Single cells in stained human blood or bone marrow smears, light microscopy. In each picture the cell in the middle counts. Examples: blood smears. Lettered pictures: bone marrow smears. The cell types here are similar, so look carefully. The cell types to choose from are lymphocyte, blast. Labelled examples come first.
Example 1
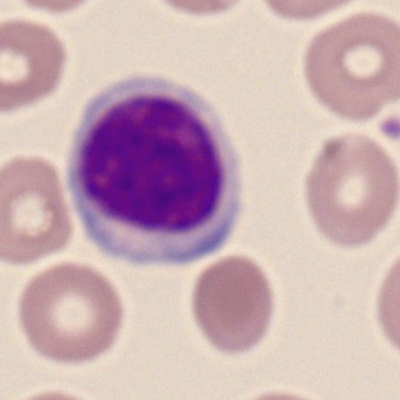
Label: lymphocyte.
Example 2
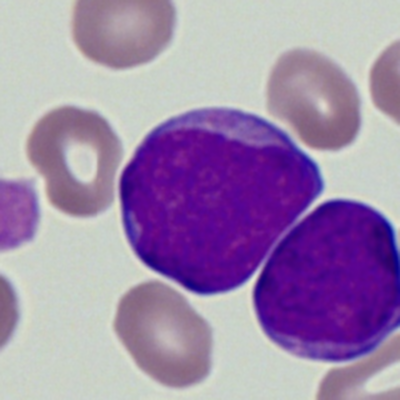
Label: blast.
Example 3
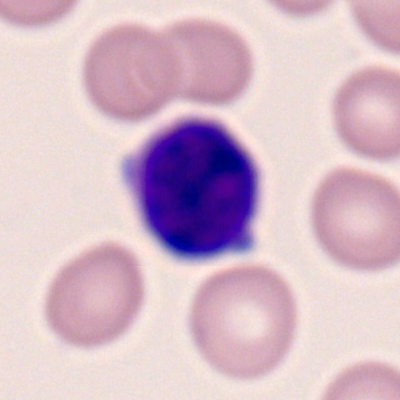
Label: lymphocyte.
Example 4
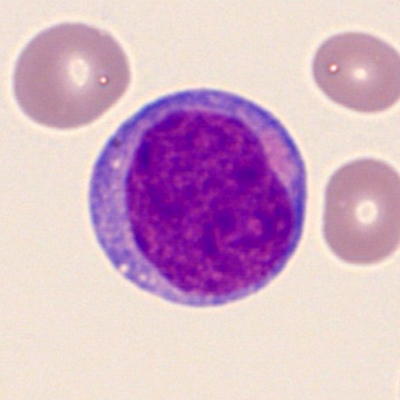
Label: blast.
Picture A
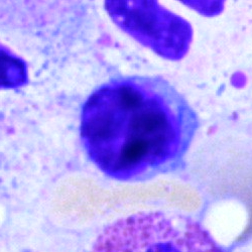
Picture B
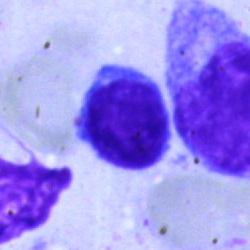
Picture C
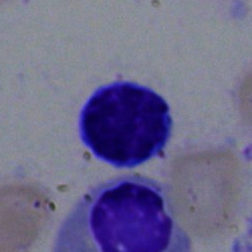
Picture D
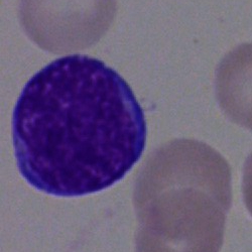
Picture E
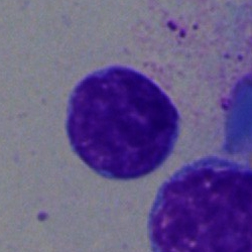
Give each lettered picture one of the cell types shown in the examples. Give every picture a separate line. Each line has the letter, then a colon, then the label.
A: lymphocyte.
B: lymphocyte.
C: lymphocyte.
D: blast.
E: lymphocyte.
